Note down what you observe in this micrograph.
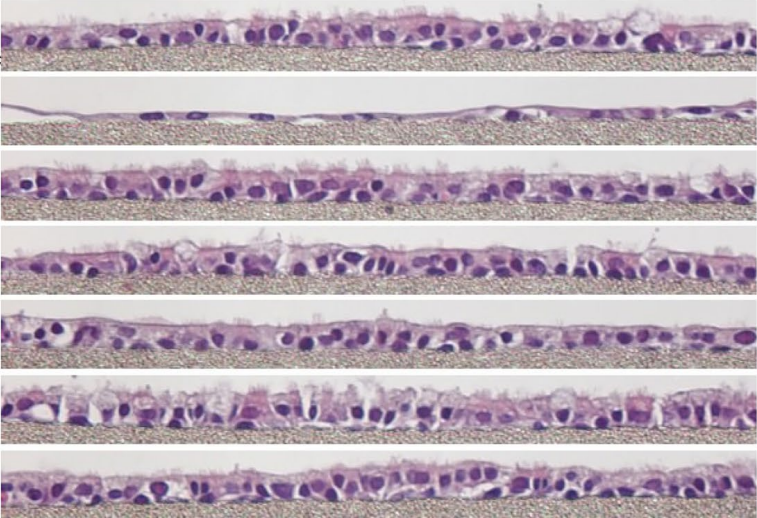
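Stacked strips of cultured airway epithelium sit on a grey, finely granular porous membrane. In most strips the epithelium is a multilayered to columnar sheet of cells with dark purple, rounded to oval nuclei and pink to pale purple cytoplasm. Some strips contain pale, clear or vacuolated cells among the columnar cells. One strip differs sharply: a thin, flattened single layer with elongated flat nuclei and no cilia at its surface.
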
